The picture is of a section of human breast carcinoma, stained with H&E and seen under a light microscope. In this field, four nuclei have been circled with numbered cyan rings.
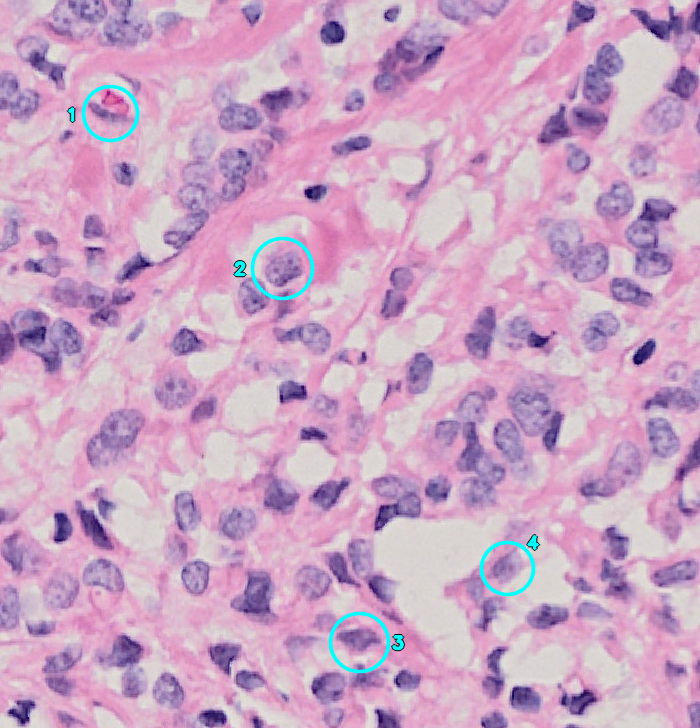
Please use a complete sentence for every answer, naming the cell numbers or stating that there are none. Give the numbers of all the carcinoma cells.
Cells 2, 3 and 4 are of one type, namely carcinoma cells.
